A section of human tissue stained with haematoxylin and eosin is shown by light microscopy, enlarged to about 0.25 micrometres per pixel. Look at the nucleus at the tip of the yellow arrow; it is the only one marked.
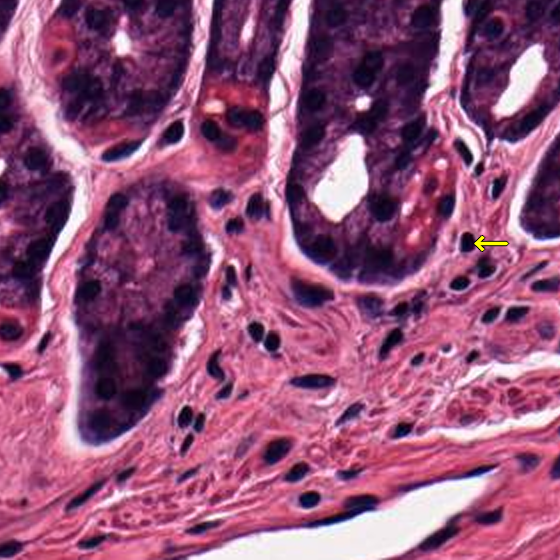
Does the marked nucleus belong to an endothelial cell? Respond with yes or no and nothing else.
no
